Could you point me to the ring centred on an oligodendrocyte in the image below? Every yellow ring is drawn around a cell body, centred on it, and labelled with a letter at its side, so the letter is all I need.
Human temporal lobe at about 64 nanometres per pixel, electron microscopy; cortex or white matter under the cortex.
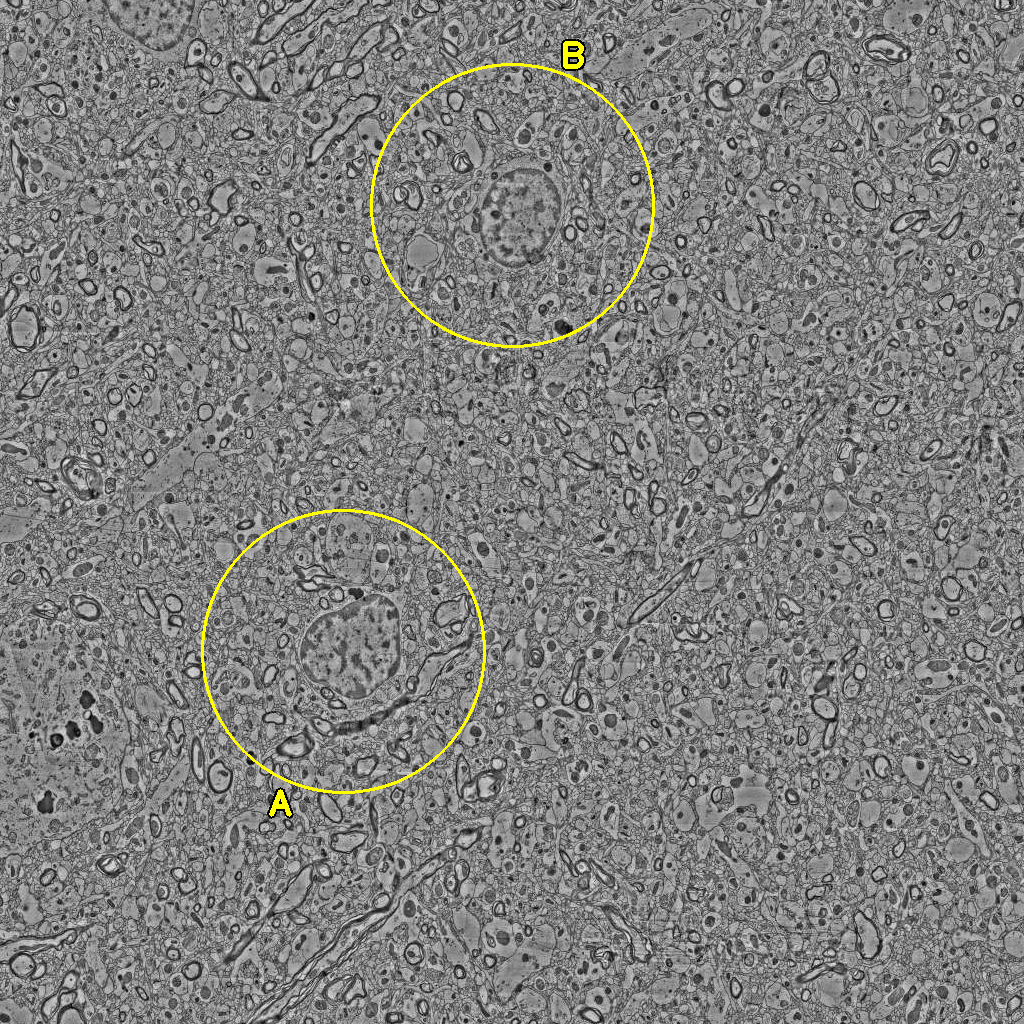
B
